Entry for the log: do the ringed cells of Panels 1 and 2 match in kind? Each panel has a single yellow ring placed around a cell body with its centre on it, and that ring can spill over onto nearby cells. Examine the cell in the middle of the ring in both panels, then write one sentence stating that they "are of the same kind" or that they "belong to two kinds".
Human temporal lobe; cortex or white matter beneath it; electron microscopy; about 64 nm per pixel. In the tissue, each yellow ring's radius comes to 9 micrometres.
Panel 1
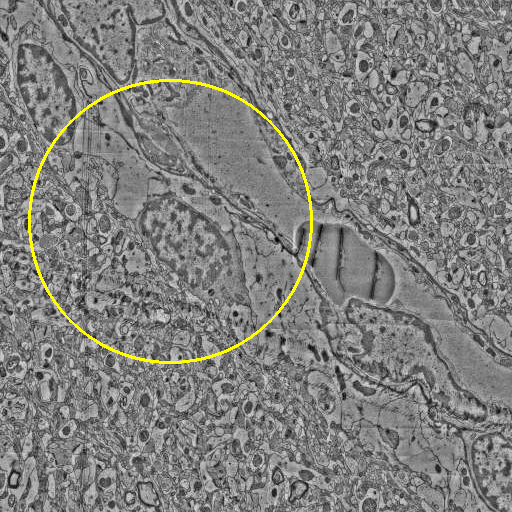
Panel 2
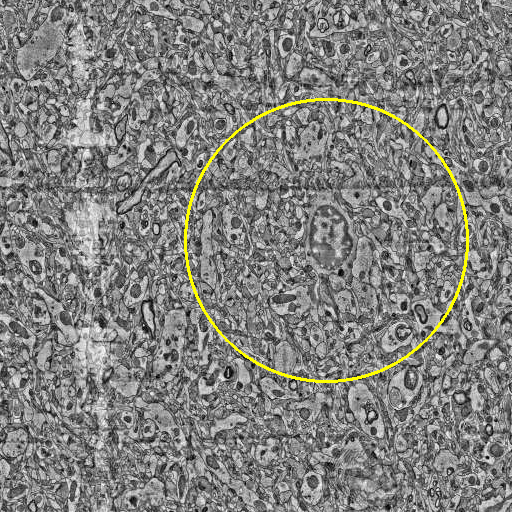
The centre cell of Panel 1's ring and that of Panel 2's ring are of the same kind.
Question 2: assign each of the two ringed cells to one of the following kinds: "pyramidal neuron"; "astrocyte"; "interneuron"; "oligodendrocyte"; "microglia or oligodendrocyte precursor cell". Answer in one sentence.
Both cells are the same kind, each one being an oligodendrocyte.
